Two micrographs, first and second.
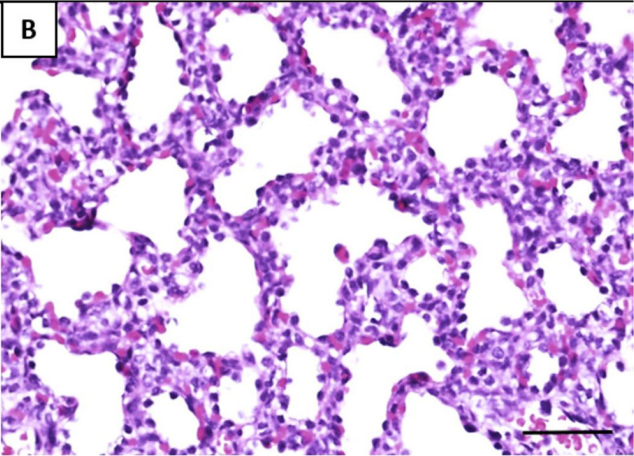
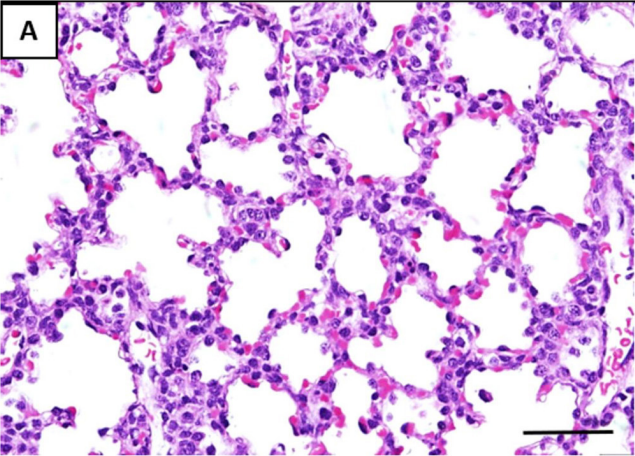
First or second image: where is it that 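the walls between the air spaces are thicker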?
The first image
